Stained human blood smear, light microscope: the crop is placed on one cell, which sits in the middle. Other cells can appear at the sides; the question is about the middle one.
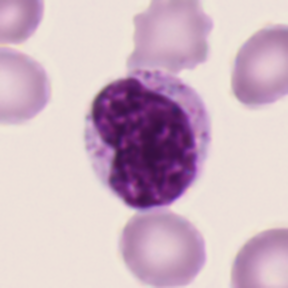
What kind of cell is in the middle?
metamyelocyte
